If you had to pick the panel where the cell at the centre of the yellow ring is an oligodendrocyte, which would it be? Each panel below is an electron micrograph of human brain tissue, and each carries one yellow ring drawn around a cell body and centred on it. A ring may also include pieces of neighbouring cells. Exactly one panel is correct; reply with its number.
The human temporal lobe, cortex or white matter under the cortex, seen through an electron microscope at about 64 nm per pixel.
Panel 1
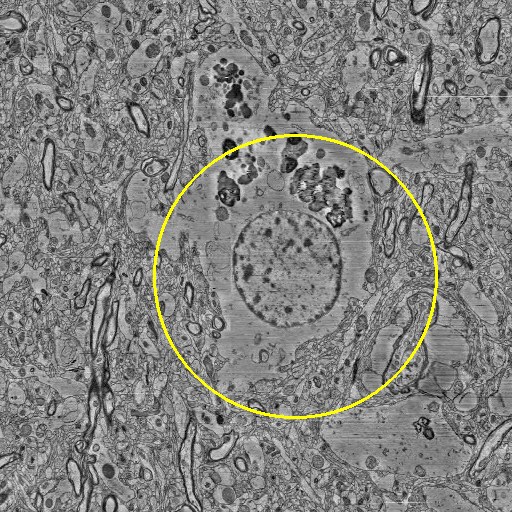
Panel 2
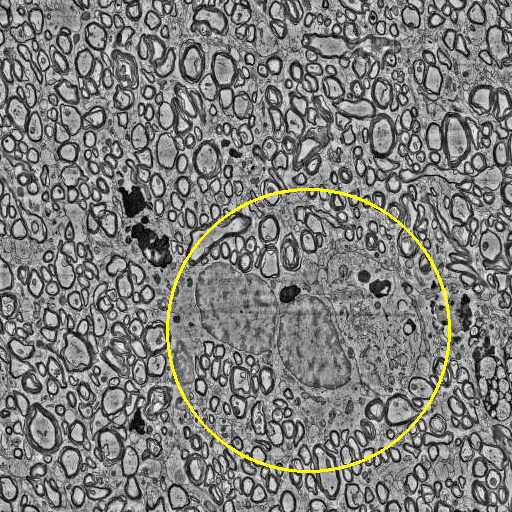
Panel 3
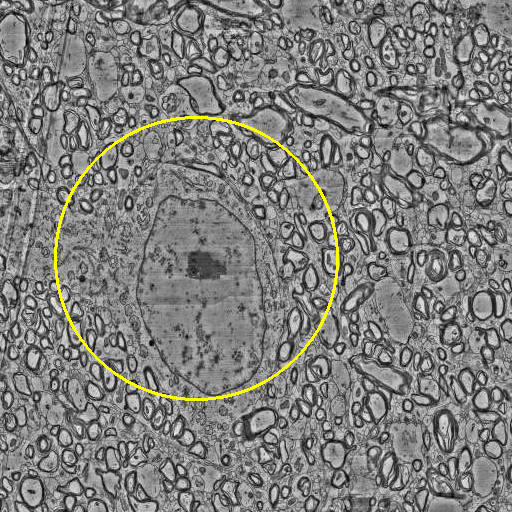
2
